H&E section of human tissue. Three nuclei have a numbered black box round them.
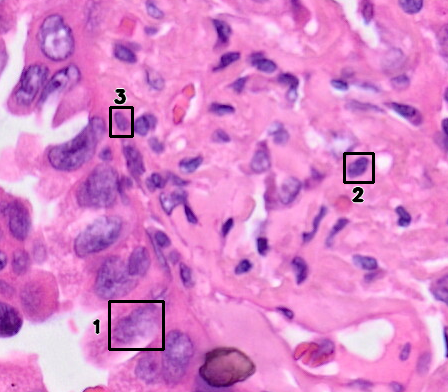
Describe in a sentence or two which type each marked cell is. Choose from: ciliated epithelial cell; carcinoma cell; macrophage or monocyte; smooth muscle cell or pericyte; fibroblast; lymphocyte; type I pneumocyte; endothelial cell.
Cell 1 is a carcinoma cell. Cells 2 and 3 are lymphocytes.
